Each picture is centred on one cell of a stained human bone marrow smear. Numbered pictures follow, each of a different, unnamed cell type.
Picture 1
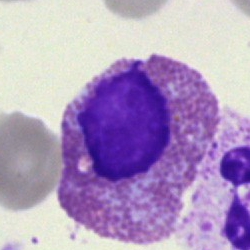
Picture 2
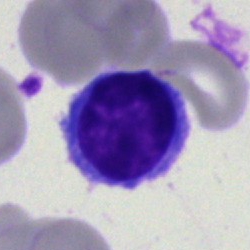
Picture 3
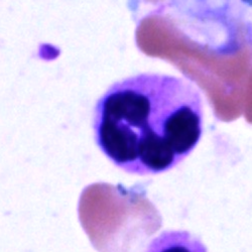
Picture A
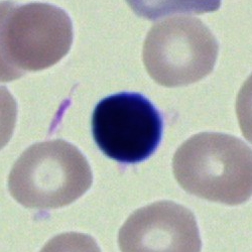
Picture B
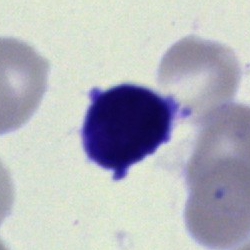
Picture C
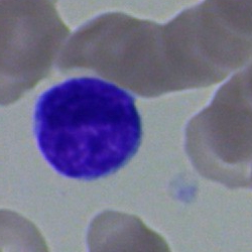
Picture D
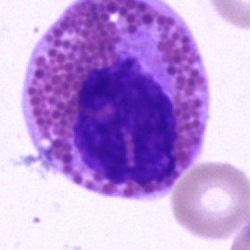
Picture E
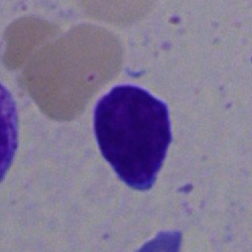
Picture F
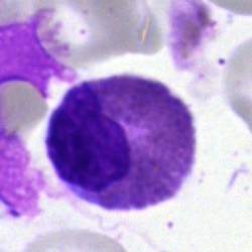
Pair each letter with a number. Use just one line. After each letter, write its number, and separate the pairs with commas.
A 2, B 2, C 2, D 1, E 2, F 1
